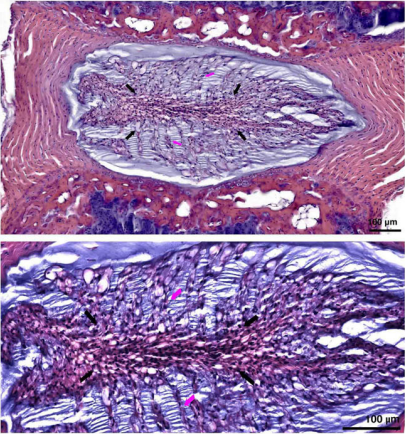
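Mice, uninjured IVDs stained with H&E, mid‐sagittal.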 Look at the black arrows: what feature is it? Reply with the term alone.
Central strip of flattened notochordal cells.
